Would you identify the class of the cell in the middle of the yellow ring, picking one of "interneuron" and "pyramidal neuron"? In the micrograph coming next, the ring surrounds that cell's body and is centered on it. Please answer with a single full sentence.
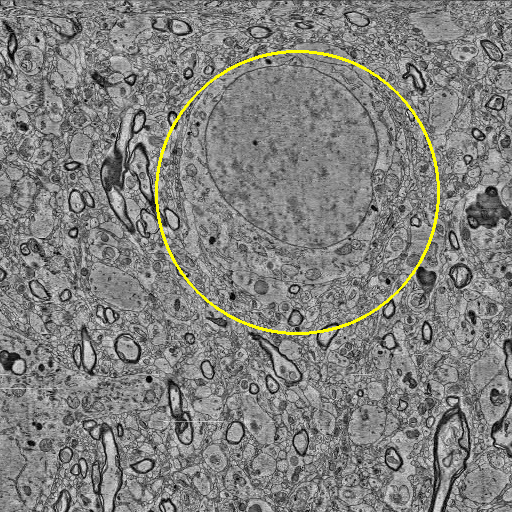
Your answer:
In the micrograph, it is a pyramidal neuron whose body lies at the ring's center.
